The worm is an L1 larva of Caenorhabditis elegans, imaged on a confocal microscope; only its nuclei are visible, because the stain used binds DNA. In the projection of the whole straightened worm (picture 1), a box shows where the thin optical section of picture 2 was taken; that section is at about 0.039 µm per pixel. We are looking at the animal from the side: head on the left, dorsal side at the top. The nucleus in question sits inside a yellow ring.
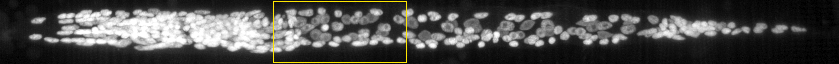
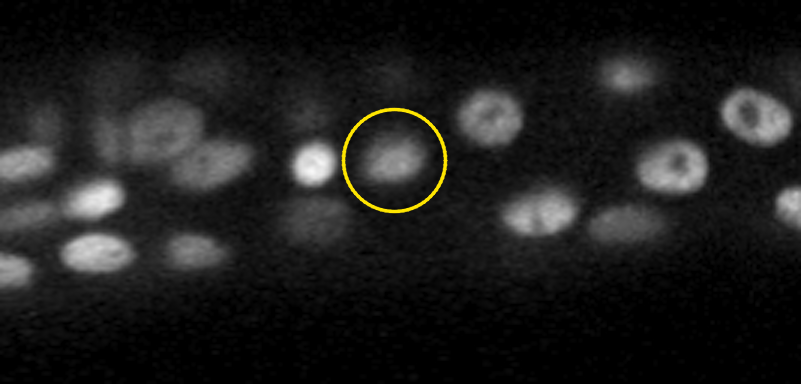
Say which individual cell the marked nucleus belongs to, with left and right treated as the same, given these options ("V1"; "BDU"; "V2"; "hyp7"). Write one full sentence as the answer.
It is the nucleus of V1, a seam cell.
